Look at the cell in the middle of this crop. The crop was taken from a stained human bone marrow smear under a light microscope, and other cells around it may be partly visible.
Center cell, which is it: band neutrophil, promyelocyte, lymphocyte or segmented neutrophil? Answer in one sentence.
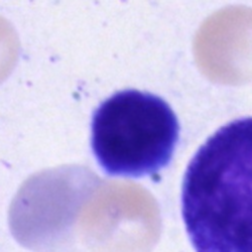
The cell featured at the centre of this crop is a lymphocyte.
